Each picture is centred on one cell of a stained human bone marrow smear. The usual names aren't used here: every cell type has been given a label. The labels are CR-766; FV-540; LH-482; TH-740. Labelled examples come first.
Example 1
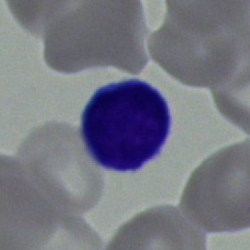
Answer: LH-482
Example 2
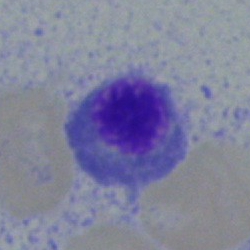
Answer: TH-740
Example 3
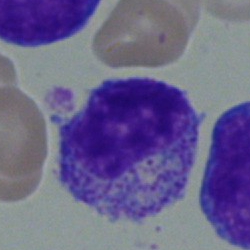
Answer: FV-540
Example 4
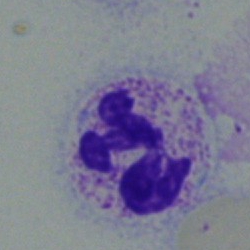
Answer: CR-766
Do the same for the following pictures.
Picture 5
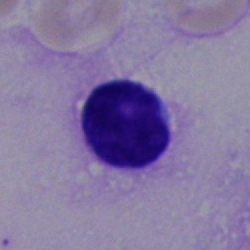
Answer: LH-482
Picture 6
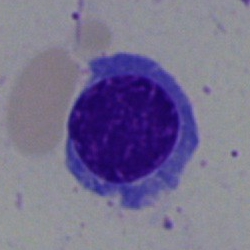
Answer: TH-740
